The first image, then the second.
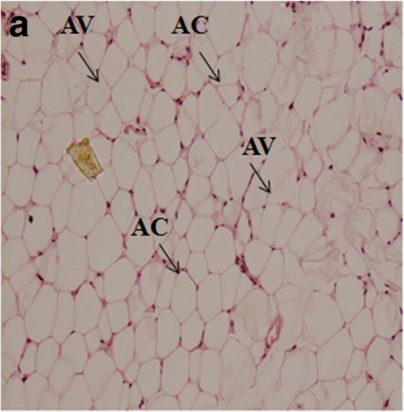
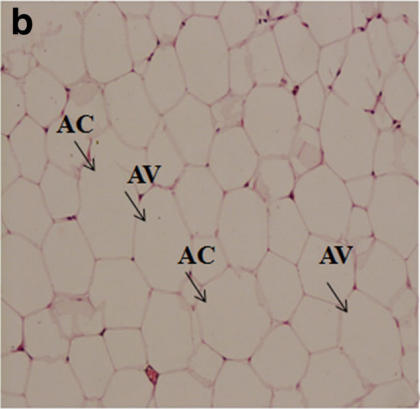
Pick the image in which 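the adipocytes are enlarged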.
The second image.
